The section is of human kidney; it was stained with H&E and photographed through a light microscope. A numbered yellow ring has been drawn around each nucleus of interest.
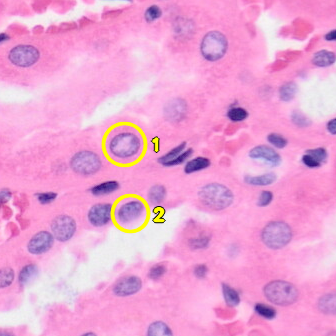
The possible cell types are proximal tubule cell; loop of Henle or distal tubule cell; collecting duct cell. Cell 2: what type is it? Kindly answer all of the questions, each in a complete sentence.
The marked nucleus 2 is that of a loop of Henle or distal tubule cell.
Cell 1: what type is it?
The cell that carries the label 1 is a proximal tubule cell.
